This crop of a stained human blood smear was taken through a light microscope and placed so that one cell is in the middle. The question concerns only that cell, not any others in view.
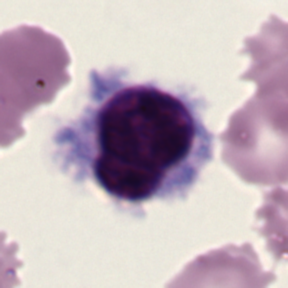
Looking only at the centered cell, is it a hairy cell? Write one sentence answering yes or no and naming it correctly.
Yes, the cell sitting in the middle of this smear crop is a hairy cell.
